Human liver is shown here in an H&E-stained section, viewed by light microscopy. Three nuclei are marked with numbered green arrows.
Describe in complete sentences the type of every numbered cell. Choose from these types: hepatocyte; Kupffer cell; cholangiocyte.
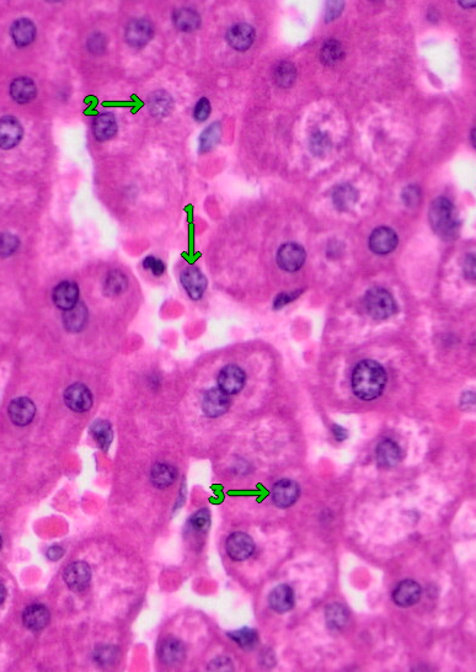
Cell 1 is a Kupffer cell. Cells 2 and 3 are hepatocytes.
